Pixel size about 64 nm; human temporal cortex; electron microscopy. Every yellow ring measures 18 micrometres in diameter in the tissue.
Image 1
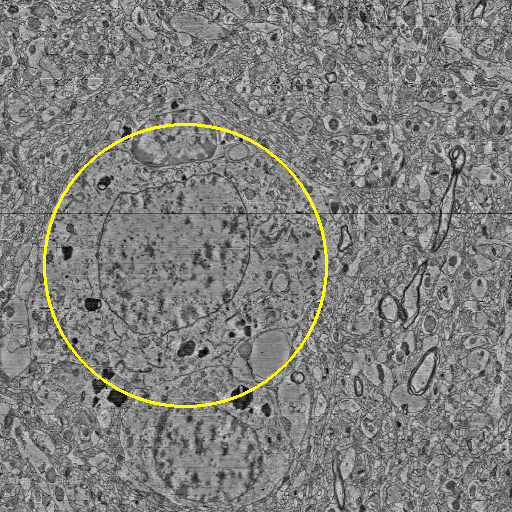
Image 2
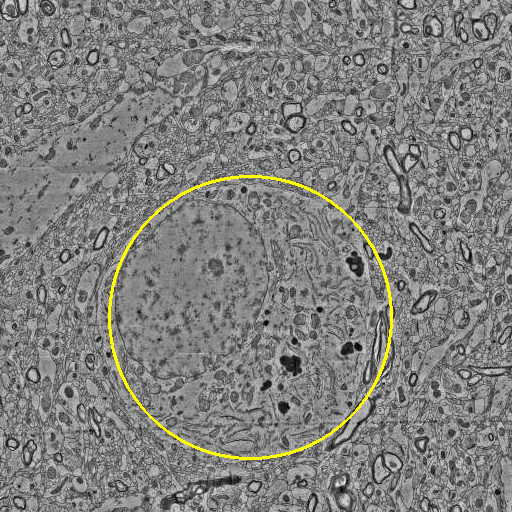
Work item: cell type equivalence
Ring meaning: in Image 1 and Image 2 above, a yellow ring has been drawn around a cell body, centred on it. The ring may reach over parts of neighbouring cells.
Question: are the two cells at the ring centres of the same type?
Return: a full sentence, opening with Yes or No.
No, the two centred cells are of two types.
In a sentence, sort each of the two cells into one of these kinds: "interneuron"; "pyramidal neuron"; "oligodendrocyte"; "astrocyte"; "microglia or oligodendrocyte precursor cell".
The first of the two cells is a pyramidal neuron, and the second is an interneuron.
